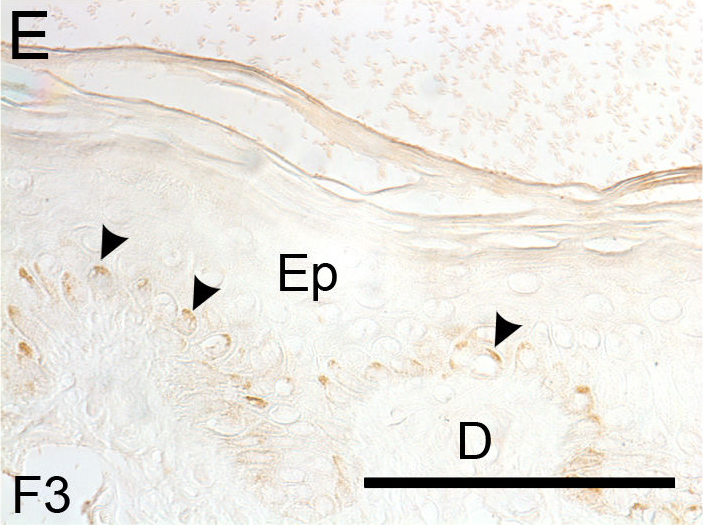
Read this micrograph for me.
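Along the top lie several thin, wavy flattened sheets that carry brown lines, while the layers just beneath them are pale. Lower down, rounded cells of the basal epidermis sit above the dermis, and a few of them show small brown dots on one side. The dermis below is pale and loosely packed with scattered cells.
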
